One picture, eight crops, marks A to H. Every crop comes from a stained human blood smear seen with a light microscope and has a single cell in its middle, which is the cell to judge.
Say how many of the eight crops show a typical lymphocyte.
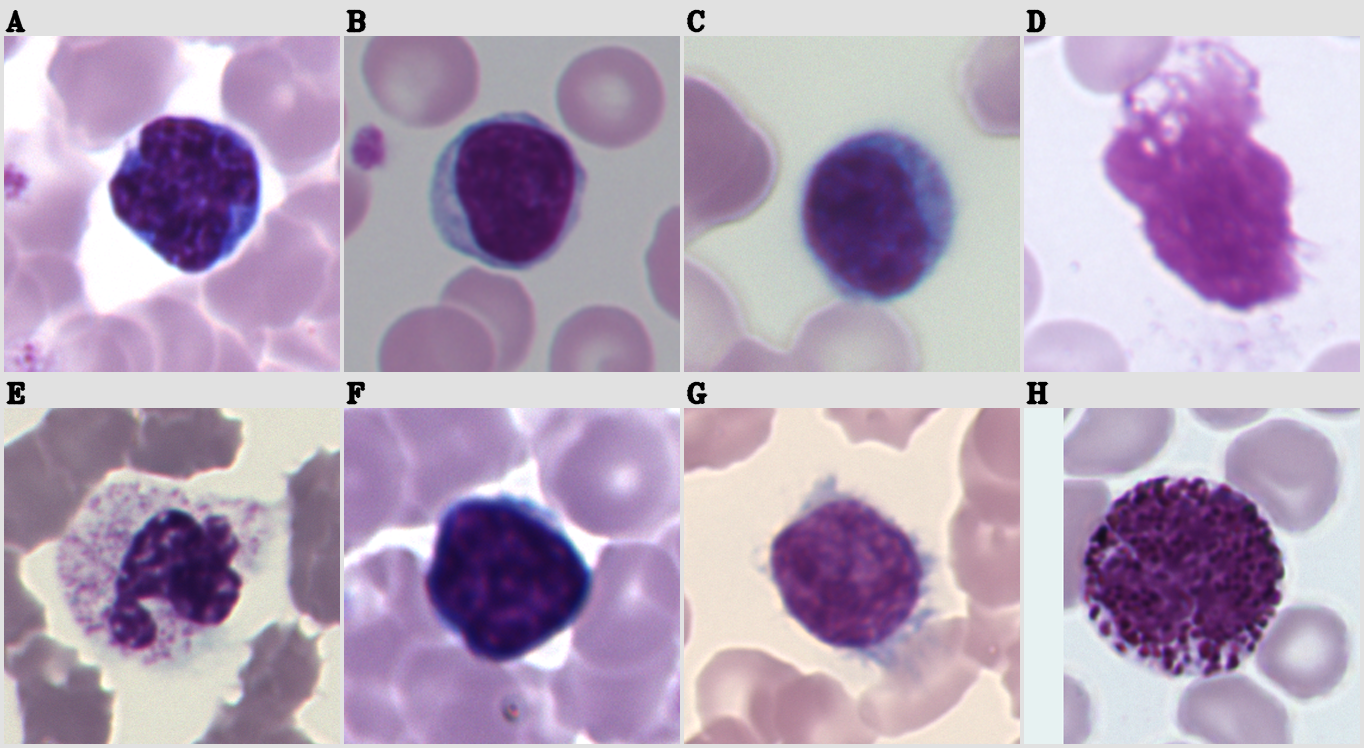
4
